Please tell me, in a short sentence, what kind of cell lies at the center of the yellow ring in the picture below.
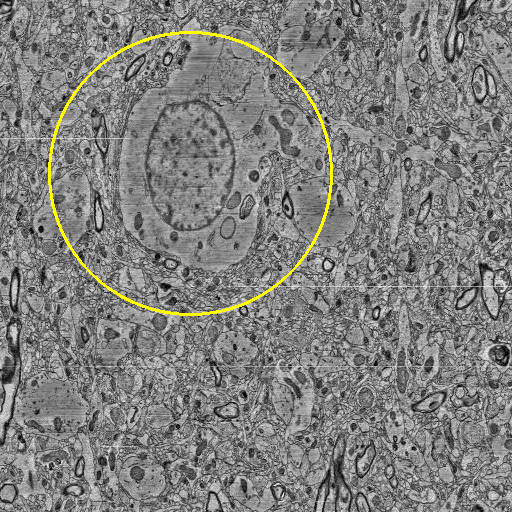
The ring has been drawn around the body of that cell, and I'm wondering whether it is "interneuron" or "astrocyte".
The cell at the center of the ring is an astrocyte.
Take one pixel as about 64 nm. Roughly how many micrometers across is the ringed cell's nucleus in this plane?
Roughly 9 micrometres by 6 micrometres, so the nucleus is clearly longer than it is wide in this plane.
